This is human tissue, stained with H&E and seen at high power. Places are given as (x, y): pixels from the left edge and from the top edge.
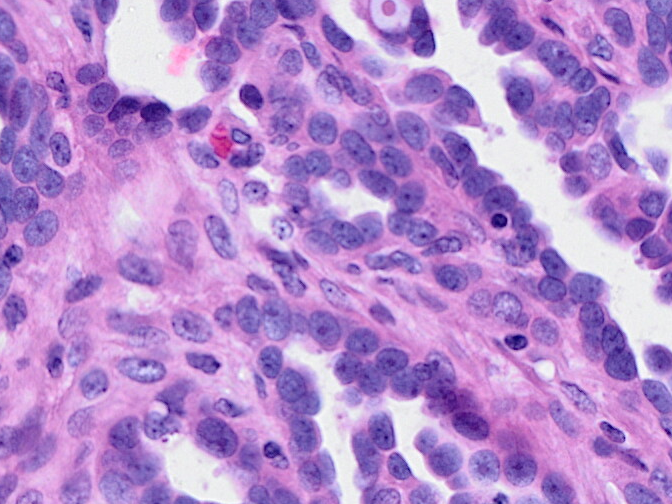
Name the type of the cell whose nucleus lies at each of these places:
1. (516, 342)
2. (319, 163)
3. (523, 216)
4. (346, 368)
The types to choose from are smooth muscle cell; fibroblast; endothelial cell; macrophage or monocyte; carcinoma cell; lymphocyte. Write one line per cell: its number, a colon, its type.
1: lymphocyte
2: carcinoma cell
3: carcinoma cell
4: carcinoma cell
